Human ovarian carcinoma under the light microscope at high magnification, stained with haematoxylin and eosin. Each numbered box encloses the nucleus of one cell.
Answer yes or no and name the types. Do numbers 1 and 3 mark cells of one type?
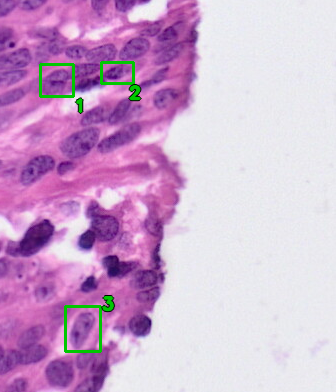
No; cell 1 is a carcinoma cell, whereas cell 3 is a macrophage or monocyte.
